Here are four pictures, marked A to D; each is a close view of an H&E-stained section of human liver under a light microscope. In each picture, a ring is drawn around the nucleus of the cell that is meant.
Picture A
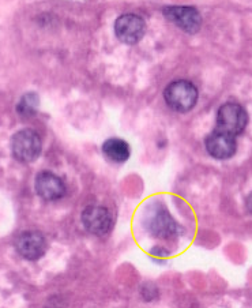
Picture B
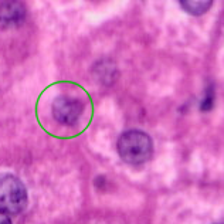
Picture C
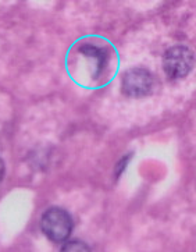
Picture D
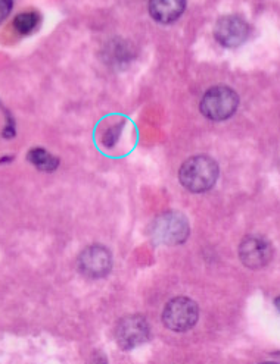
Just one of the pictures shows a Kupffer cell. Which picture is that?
A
